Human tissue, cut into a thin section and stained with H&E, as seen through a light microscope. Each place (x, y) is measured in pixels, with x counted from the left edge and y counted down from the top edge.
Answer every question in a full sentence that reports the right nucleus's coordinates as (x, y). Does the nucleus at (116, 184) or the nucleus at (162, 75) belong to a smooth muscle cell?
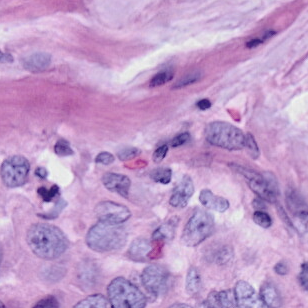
The nucleus whose position is (162, 75) belongs to a smooth muscle cell.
